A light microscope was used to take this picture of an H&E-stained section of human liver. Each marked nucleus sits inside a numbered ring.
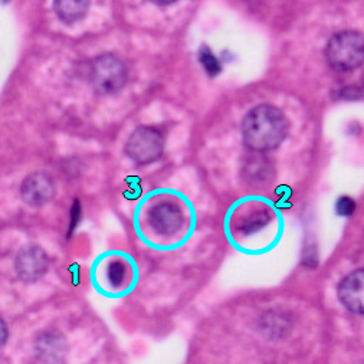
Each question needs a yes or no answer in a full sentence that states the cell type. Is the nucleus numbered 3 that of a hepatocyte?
Yes, the cell distinguished by number 3 is a hepatocyte.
